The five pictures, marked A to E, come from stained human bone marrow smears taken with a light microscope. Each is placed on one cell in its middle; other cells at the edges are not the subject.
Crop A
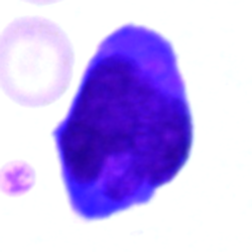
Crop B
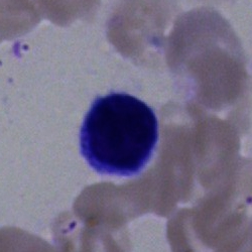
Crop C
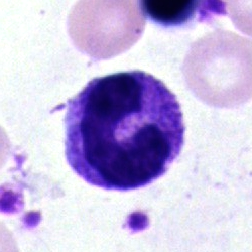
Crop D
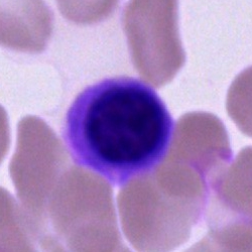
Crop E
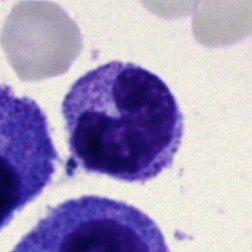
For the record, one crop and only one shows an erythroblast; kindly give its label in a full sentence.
Crop D is the one that shows an erythroblast.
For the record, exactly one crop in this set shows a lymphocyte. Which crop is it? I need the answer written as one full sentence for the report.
Of the cells presented, the one in crop B is a lymphocyte.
